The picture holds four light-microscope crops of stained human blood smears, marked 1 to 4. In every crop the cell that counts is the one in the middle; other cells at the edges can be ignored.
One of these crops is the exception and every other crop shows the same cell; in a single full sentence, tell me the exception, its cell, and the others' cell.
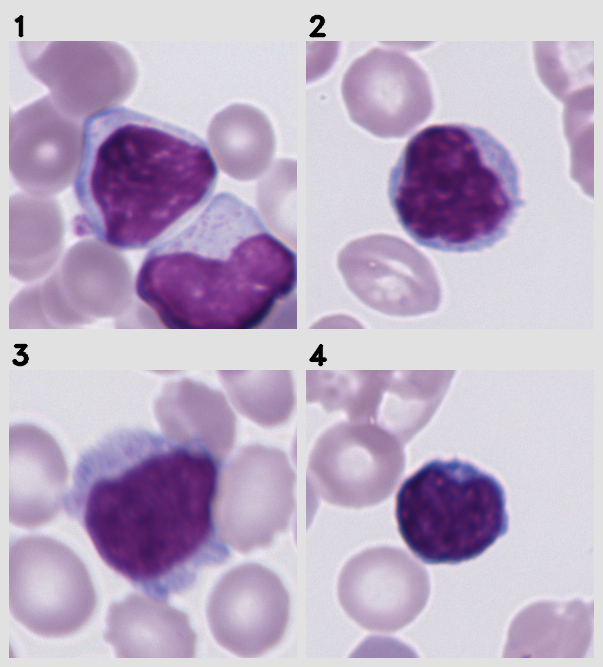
Unlike the other crops, which all show typical lymphocytes, crop 1 is a large granular lymphocyte.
